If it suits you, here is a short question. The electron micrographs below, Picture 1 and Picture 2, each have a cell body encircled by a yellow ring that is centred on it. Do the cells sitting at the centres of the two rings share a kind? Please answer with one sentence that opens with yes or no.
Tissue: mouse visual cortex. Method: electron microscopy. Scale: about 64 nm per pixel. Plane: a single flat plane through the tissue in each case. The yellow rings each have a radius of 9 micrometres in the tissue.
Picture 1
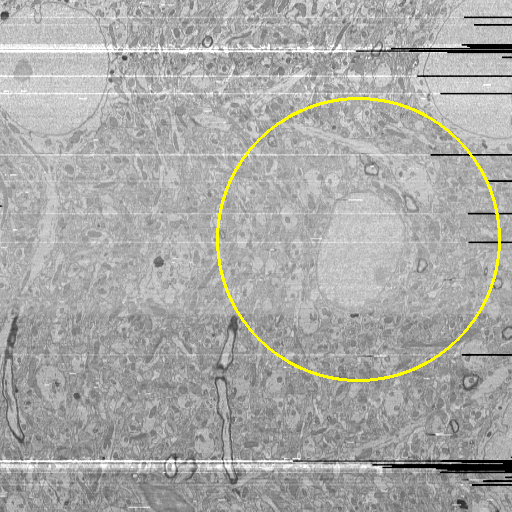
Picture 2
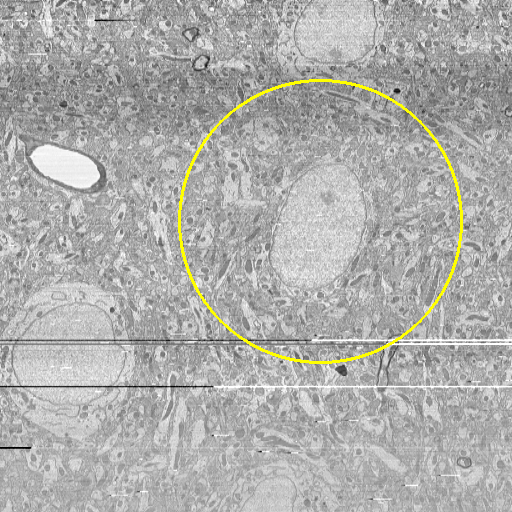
Yes, the two cells sitting at the ring centres share a single kind.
